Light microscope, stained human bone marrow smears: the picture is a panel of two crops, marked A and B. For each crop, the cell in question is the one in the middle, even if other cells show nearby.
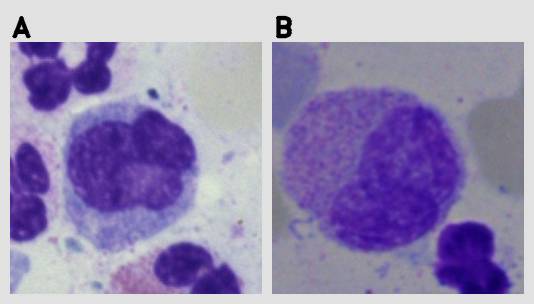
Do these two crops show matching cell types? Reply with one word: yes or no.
no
